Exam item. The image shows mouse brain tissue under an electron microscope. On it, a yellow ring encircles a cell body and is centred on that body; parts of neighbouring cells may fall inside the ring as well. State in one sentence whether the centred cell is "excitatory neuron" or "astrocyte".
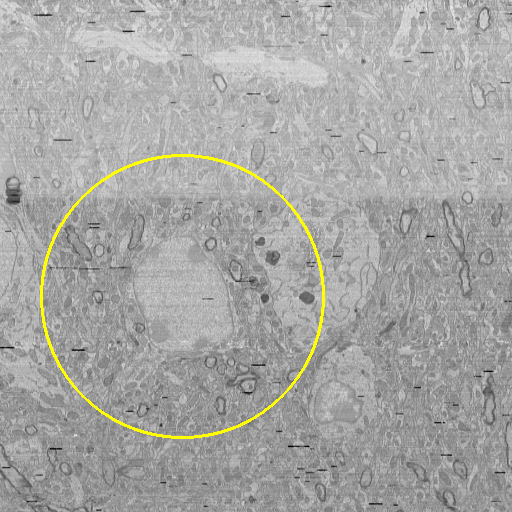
The cell body centred in the ring is an astrocyte.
